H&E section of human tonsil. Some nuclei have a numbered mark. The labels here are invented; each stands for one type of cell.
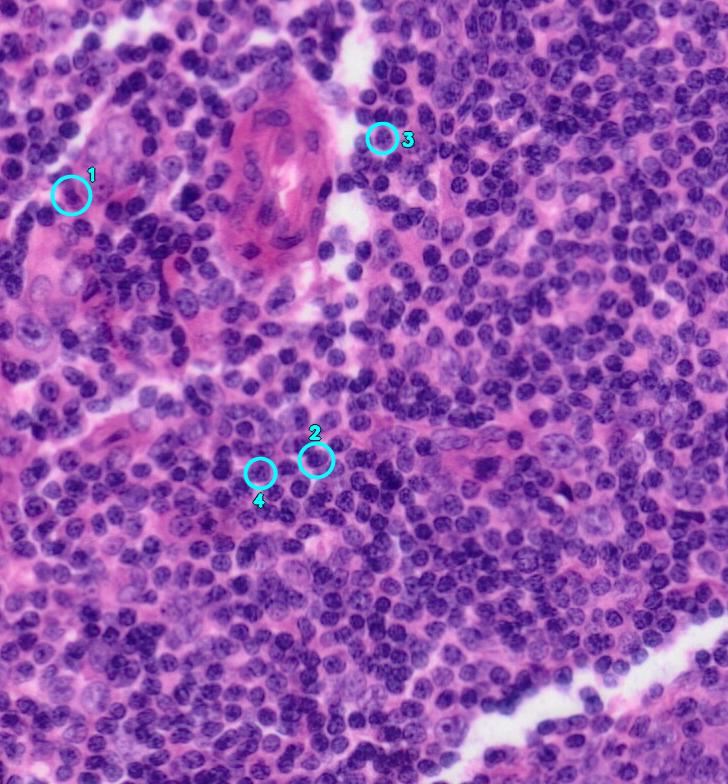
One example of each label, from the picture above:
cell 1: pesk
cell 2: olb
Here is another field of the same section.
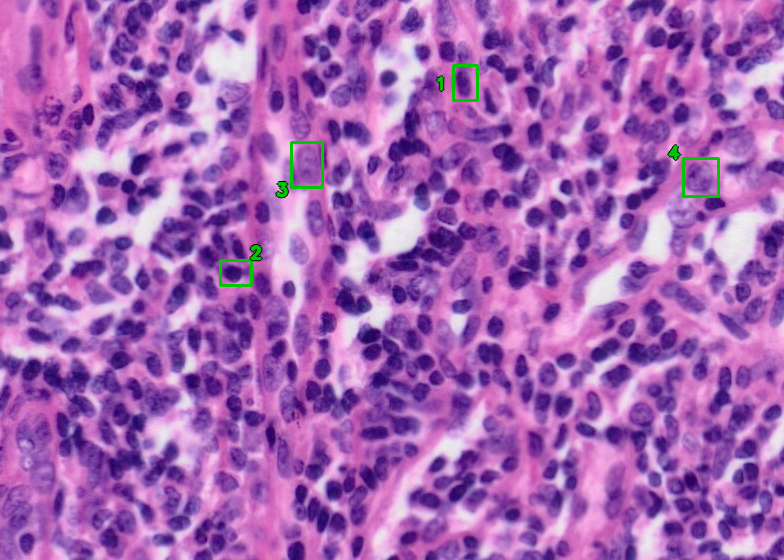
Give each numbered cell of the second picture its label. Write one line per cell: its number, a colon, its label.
1: pesk
2: olb
3: pesk
4: pesk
